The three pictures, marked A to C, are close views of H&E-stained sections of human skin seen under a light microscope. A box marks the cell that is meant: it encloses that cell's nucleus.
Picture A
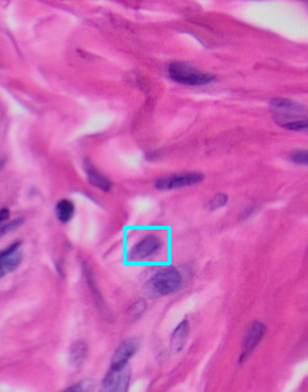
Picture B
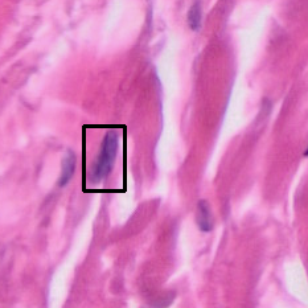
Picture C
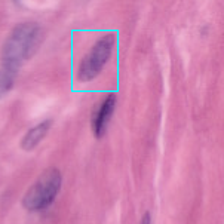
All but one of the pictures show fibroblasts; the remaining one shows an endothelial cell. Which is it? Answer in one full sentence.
Picture A is the one that shows the endothelial cell.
